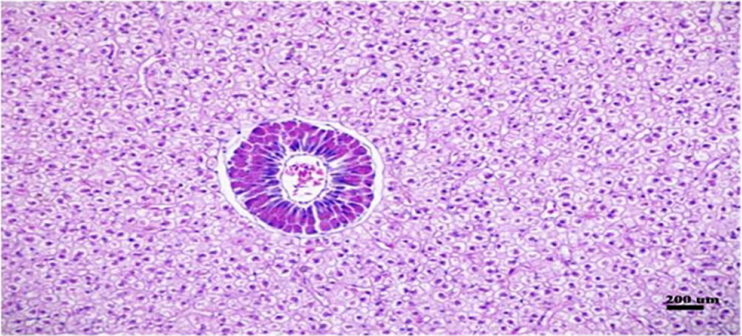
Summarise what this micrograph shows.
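This is hepatopancreatic tissue in which uniform hepatocytes form the background. They are polygonal with pale, clear-looking pinkish cytoplasm and a single round, dark purple nucleus each, arranged in cords with thin spaces between. In the centre lies a sharply bounded, rounded cluster of much darker-staining cells with deep purple to violet cytoplasm, arranged radially like a ring around a central lumen that contains pink-red blood cells. A clear space separates this cluster from the surrounding hepatocytes. The hepatocytes show no obvious swelling or shrinkage.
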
